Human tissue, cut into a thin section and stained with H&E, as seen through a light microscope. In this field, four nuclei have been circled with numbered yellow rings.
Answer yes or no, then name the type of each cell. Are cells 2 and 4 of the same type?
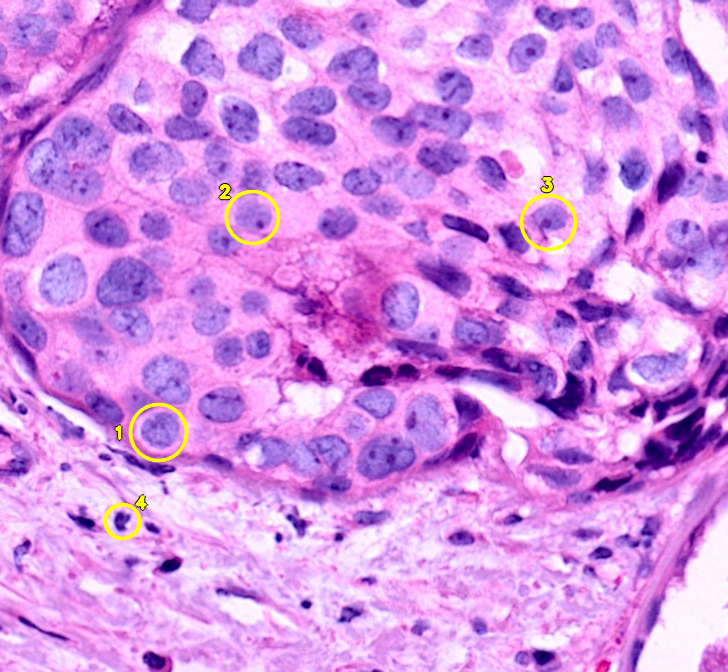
No, in contrast to cell 4, which is a lymphocyte, cell 2 is a carcinoma cell.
